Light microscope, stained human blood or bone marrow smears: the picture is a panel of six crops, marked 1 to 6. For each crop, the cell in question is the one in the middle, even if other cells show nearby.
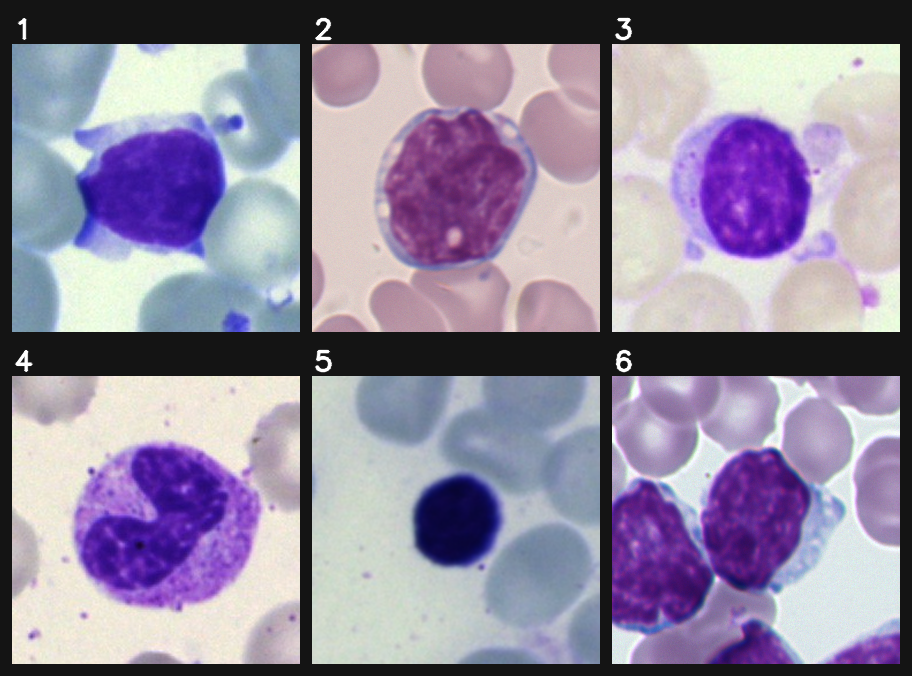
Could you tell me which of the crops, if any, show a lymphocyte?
1, 3, 5, 6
